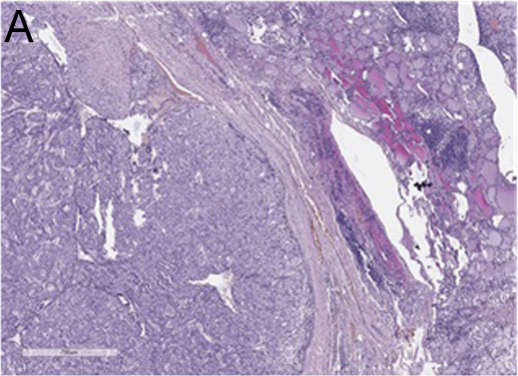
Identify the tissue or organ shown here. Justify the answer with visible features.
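Thyroid tissue. Upper right shows round follicles filled with pink colloid. These follicles lie outside the fibrous band.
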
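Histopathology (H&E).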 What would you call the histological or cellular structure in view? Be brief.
fibrous capsule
